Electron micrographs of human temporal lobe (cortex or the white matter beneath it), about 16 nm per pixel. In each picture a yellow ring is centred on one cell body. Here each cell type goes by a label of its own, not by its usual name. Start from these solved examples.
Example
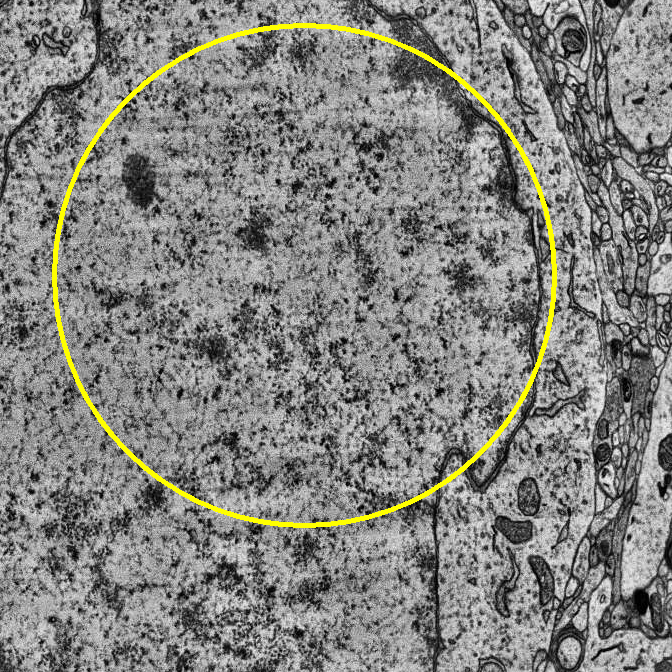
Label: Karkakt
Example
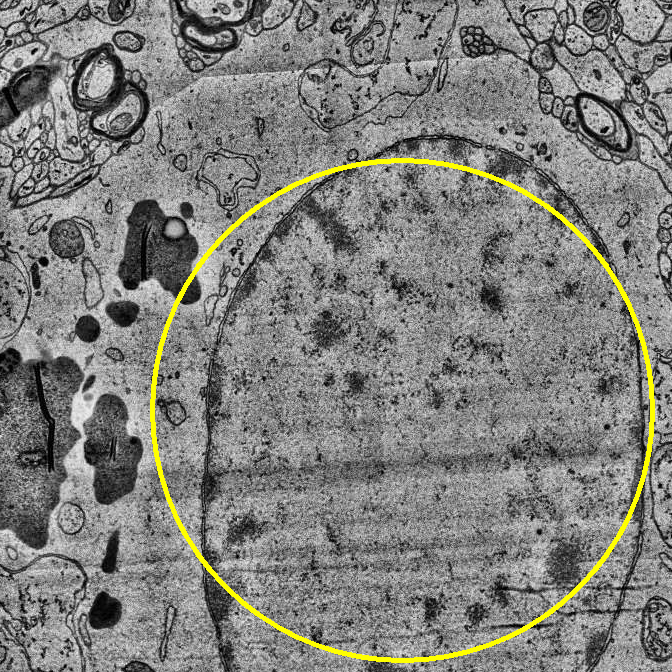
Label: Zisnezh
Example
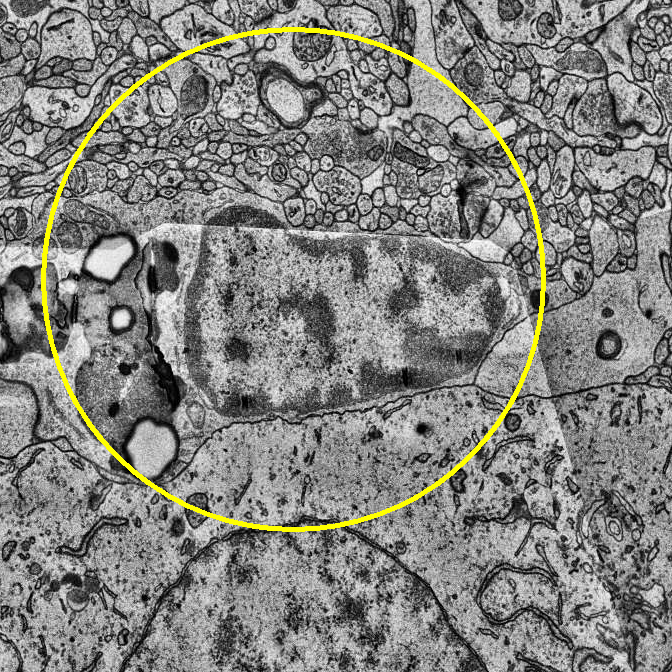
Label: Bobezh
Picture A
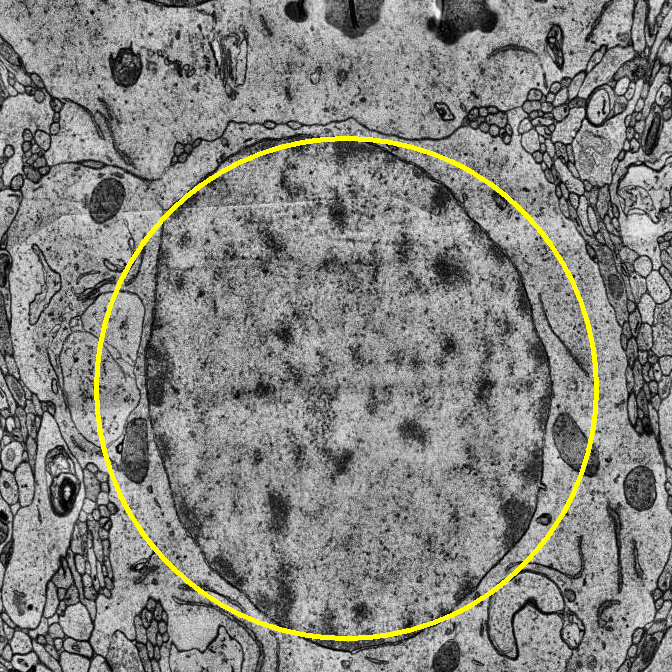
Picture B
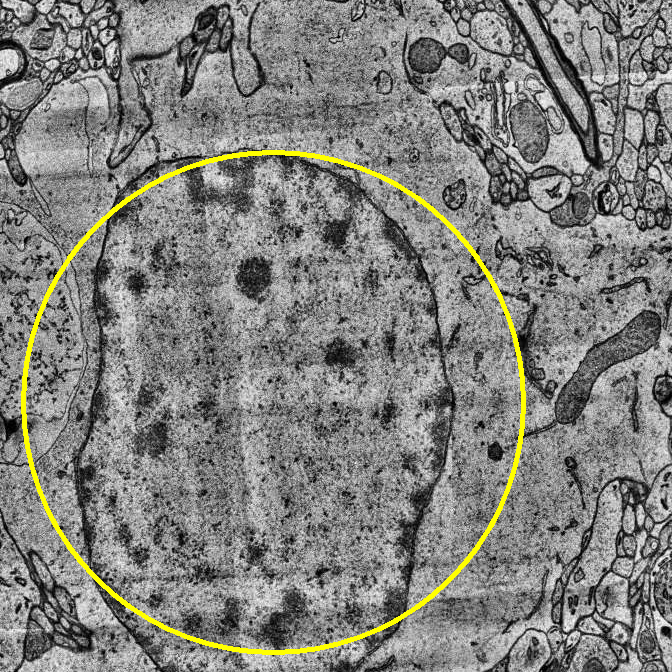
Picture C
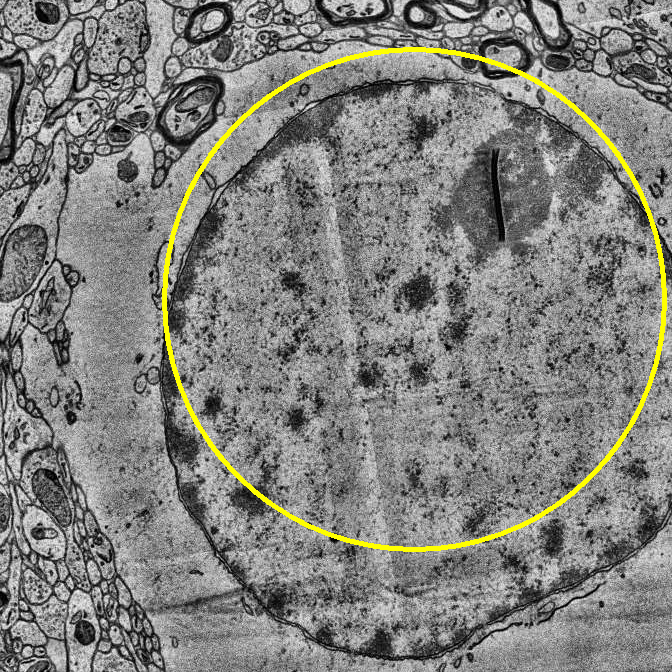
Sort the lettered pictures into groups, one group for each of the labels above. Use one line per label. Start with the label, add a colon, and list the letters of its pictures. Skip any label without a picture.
Zisnezh: A, B, C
